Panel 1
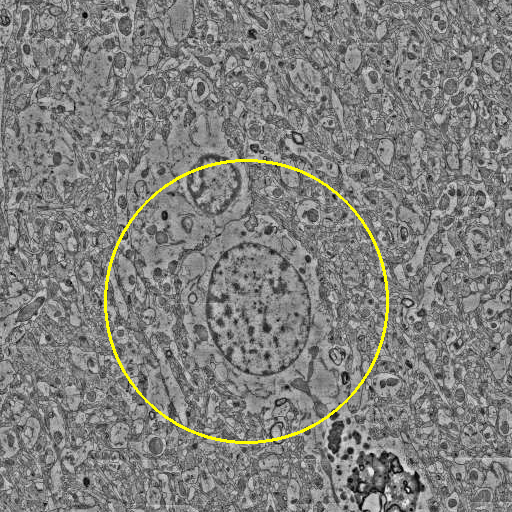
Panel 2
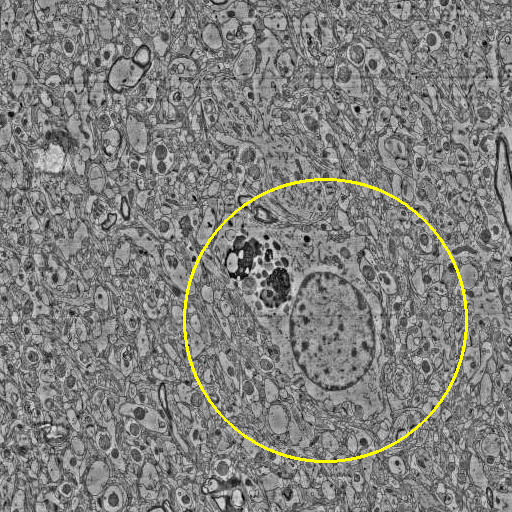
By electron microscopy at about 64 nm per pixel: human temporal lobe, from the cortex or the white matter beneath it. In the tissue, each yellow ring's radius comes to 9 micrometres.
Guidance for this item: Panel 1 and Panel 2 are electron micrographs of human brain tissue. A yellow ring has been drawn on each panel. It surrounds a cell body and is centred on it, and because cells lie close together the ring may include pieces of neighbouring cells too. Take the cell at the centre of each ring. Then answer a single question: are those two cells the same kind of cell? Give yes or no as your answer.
yes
